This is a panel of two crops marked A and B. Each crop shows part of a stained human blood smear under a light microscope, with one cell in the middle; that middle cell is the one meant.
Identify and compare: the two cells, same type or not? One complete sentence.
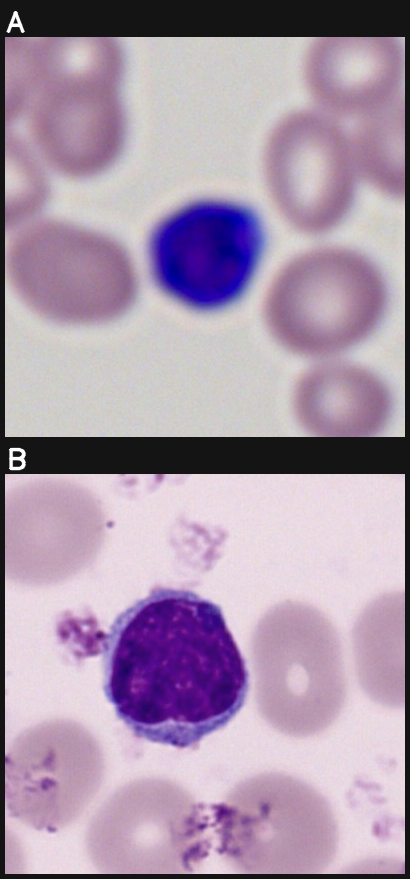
Yes, both crops show lymphocytes, the one and the other.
